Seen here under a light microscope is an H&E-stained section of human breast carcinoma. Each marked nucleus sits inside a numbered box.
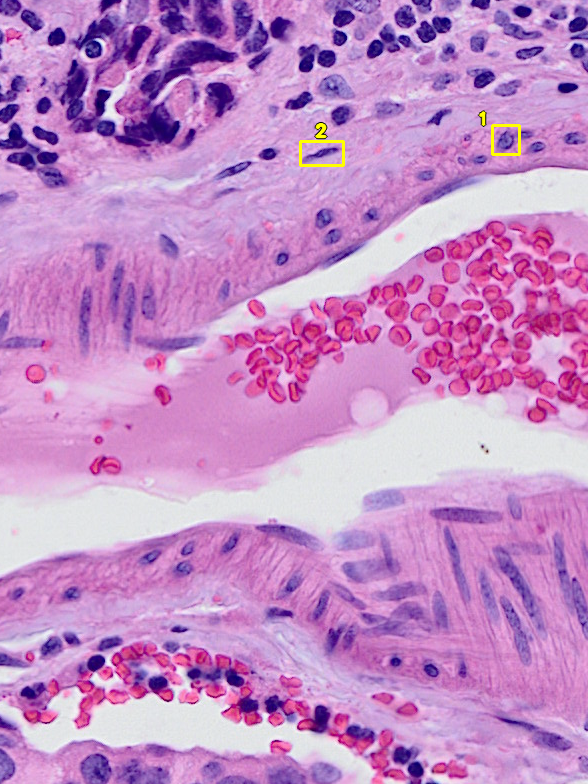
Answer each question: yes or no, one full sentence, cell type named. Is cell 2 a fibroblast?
Yes, the numbered cell 2 is a fibroblast.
